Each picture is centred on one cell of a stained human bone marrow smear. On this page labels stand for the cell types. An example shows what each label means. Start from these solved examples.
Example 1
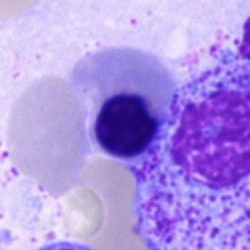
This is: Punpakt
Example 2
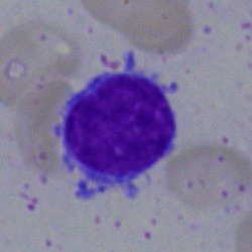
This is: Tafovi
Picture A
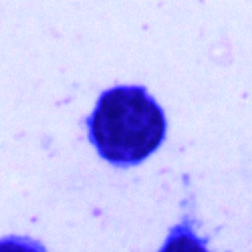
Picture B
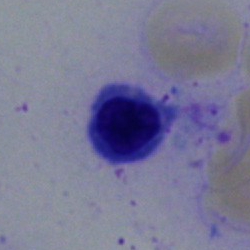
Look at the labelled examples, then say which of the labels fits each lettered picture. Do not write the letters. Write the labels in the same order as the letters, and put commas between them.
Tafovi, Punpakt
